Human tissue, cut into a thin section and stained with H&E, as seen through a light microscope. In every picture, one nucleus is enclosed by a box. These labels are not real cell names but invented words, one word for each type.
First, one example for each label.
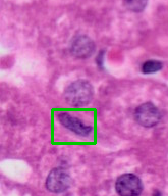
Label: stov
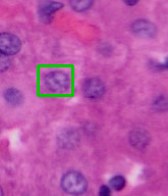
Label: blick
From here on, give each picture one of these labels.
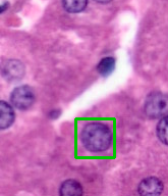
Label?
blick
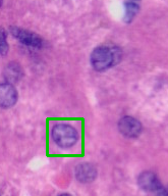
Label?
blick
